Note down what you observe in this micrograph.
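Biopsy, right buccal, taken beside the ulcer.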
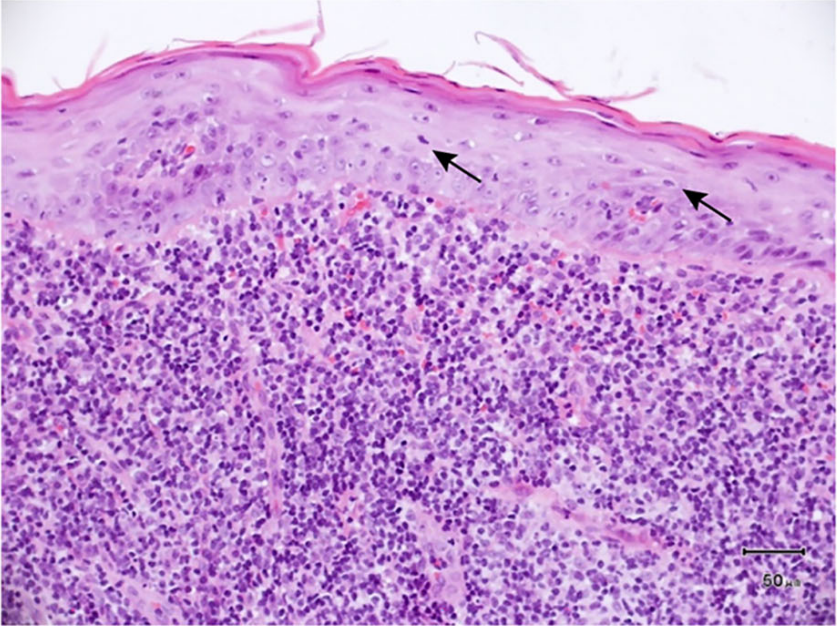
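Stratified squamous epithelium of oral mucosa sits over a lamina propria densely packed with lymphocytes and plasma cells. The epithelium is made of polygonal cells with pale pink cytoplasm and round to oval nuclei, flattening toward a thin, bright pink surface layer. A few small, dark, round nuclei of lymphocytes lie scattered between the epithelial cells. Beneath the flat border of the epithelium, the connective tissue is crowded with small round cells that have dark purple nuclei and scant cytoplasm. Thin strands of pink connective tissue and small vessels holding red cells run through this infiltrate.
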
